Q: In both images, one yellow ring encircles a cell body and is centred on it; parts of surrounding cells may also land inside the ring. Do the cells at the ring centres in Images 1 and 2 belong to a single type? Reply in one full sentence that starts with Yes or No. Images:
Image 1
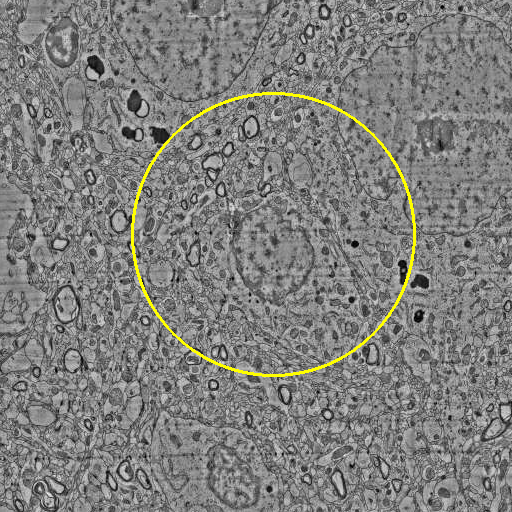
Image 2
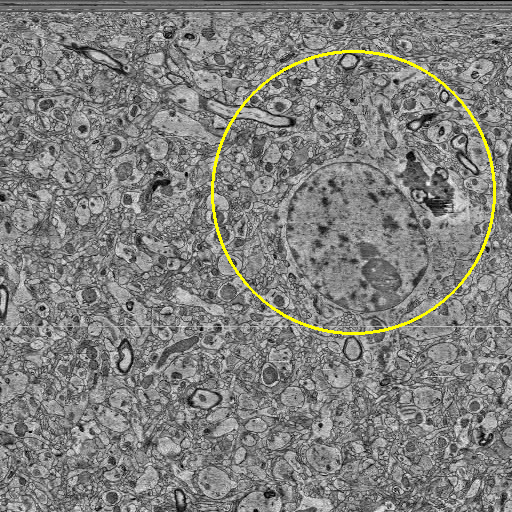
No, the cells at the ring centres in Images 1 and 2 are of two types.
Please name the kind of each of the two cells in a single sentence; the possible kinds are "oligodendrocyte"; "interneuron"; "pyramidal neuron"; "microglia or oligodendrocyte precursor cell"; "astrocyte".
In the first picture the ring is centred on an interneuron, and in the second on an astrocyte.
